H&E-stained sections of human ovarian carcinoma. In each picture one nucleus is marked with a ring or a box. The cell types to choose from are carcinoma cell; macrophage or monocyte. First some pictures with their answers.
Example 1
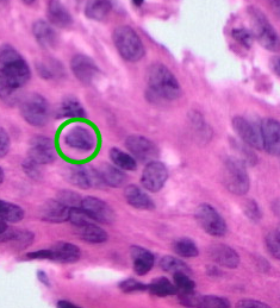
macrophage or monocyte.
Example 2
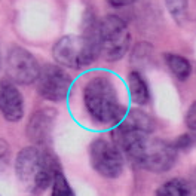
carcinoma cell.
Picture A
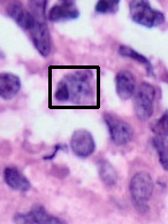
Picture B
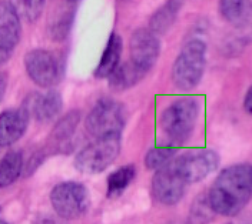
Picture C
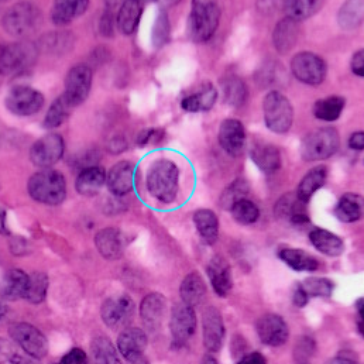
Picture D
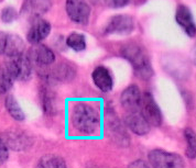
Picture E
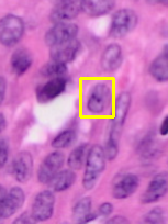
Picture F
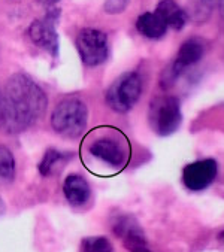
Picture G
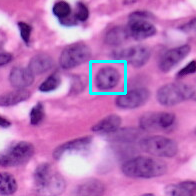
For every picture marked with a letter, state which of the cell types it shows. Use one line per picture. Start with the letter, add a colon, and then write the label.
A: macrophage or monocyte.
B: carcinoma cell.
C: macrophage or monocyte.
D: macrophage or monocyte.
E: macrophage or monocyte.
F: carcinoma cell.
G: macrophage or monocyte.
